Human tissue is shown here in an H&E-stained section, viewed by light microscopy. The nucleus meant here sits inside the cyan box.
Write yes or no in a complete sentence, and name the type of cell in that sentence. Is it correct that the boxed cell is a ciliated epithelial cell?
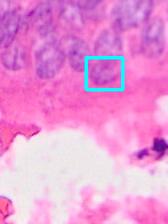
Yes, the boxed cell is assigned the identity of a ciliated epithelial cell.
